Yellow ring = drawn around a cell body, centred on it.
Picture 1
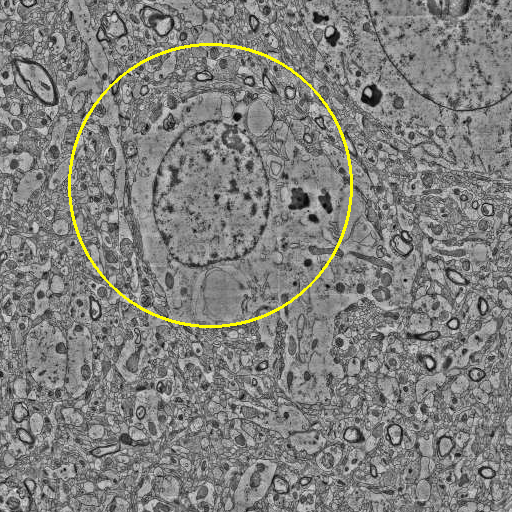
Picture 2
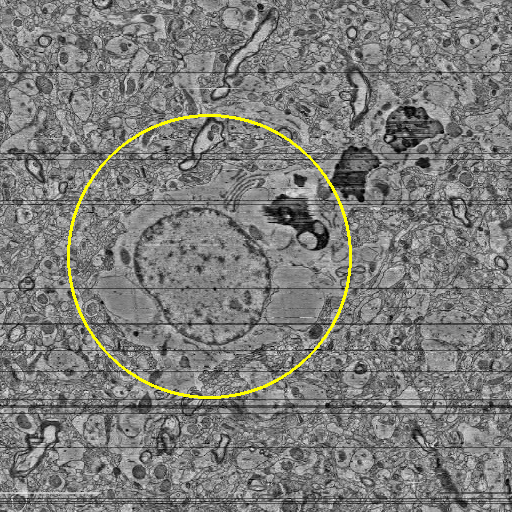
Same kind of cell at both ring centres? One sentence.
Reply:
Yes, they are the same kind of cell.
